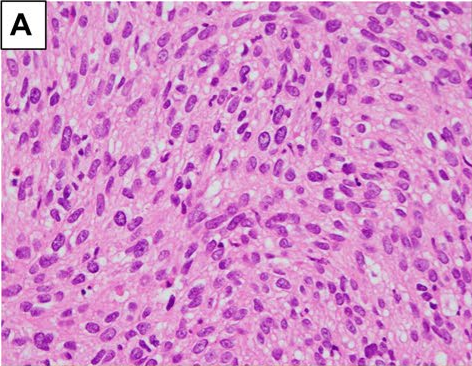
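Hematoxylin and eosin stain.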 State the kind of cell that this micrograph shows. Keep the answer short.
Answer: spindle tumor cells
